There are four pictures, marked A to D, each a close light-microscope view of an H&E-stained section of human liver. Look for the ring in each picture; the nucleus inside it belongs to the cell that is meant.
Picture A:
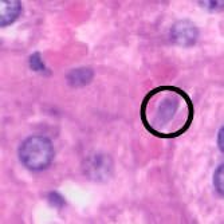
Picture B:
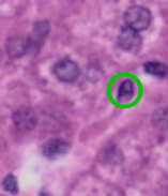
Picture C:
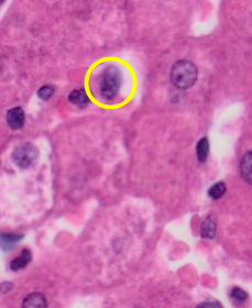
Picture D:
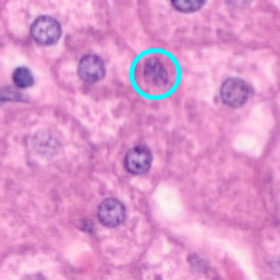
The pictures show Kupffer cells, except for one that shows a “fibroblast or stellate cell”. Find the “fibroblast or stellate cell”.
D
